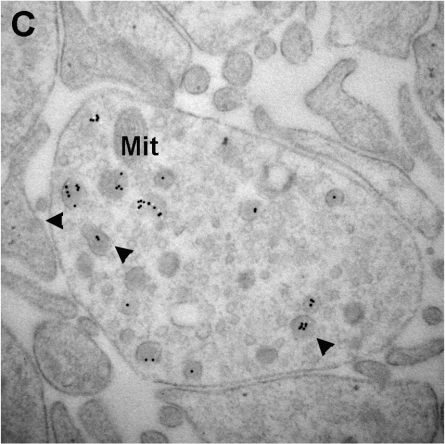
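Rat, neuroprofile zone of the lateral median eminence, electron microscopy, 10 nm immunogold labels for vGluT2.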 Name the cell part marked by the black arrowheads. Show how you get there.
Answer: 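Small round vesicles with a dark central core scattered in the profile. Black gold particles sit on the marked vesicles. That points to this answer: large dense-core vesicles.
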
